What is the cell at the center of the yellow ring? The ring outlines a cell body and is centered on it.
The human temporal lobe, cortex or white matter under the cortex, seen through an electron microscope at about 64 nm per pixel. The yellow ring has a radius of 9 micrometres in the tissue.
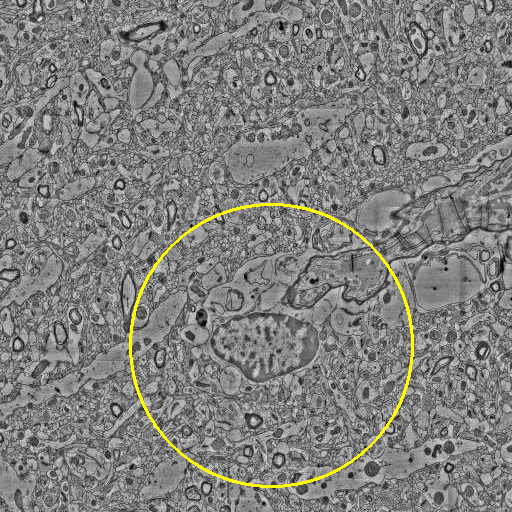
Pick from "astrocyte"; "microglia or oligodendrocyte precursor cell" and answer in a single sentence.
The yellow ring is centered on a microglial cell or oligodendrocyte precursor cell.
